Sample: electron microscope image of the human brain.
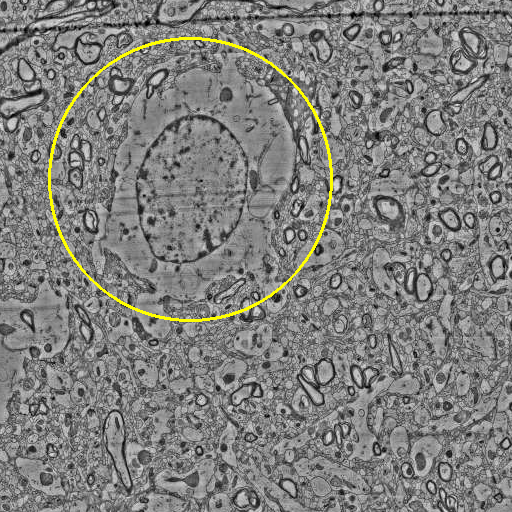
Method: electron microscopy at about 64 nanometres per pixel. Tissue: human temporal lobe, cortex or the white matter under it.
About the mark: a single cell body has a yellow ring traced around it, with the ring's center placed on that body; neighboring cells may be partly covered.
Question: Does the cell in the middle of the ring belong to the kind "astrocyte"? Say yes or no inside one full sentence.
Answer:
Yes, the cell at the ring's center in this image belongs to that kind.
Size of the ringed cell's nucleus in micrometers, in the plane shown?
In this plane the nucleus measures roughly 10 by 7 micrometers.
